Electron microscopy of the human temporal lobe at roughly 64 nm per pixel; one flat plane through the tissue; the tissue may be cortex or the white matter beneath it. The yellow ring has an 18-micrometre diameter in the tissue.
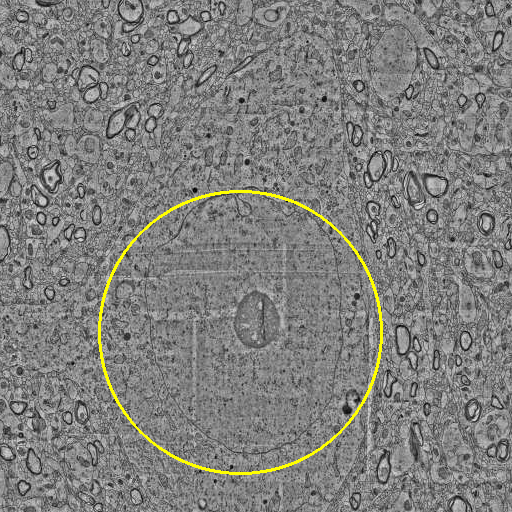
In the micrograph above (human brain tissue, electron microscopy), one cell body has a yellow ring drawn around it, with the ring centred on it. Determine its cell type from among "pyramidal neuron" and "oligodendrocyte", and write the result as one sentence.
The cell whose body is ringed is a pyramidal neuron.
